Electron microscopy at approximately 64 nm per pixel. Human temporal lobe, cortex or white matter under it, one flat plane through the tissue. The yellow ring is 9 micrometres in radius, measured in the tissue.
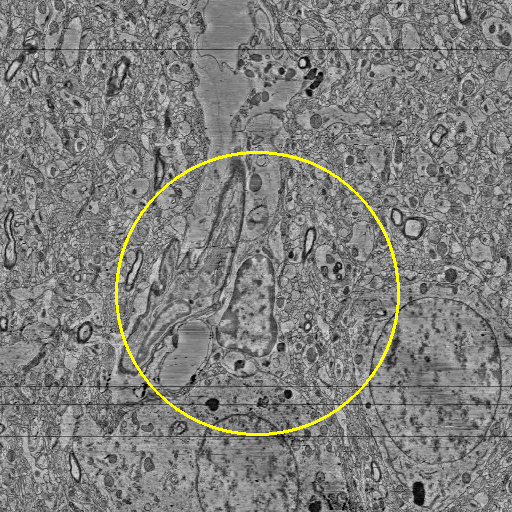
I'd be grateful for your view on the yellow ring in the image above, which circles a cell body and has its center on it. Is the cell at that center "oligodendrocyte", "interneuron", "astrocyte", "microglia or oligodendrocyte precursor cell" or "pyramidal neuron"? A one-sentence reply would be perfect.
The cell at the center of the yellow ring is a microglial cell or oligodendrocyte precursor cell.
